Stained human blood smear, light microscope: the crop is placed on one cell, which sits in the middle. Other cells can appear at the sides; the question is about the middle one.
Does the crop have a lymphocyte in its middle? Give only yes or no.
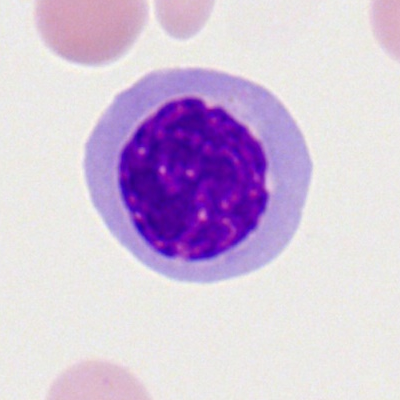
no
